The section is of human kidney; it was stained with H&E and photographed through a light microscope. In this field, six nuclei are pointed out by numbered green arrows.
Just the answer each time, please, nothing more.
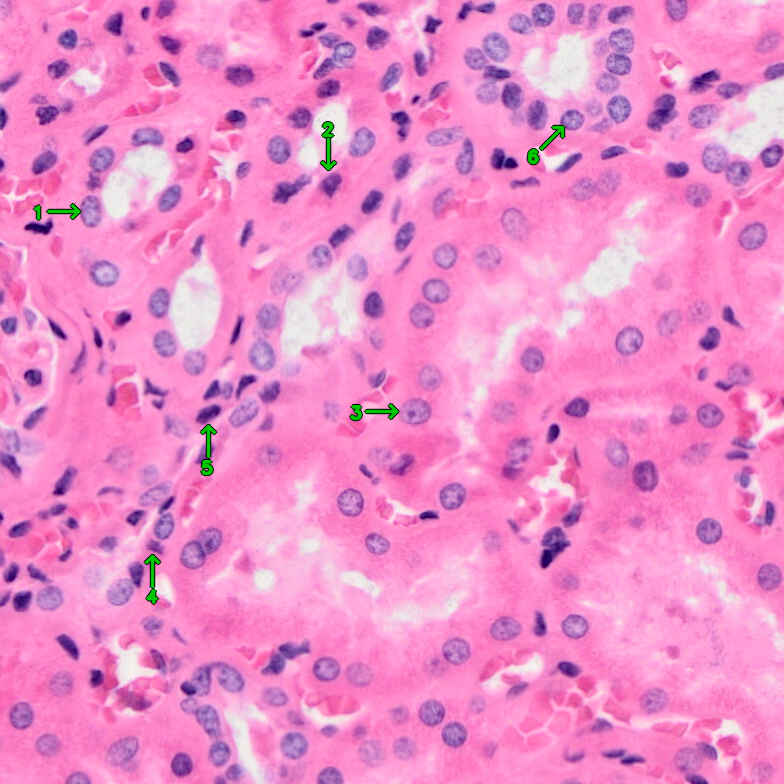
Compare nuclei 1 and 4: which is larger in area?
1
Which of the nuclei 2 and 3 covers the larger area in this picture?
3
